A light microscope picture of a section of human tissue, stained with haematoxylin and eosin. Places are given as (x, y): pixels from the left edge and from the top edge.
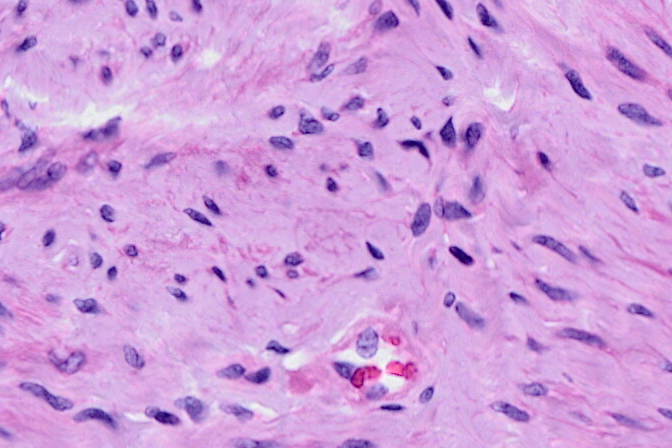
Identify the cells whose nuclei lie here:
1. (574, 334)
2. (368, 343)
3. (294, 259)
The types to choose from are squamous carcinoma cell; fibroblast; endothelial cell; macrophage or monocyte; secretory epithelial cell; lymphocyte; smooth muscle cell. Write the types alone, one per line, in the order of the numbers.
smooth muscle cell
endothelial cell
smooth muscle cell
